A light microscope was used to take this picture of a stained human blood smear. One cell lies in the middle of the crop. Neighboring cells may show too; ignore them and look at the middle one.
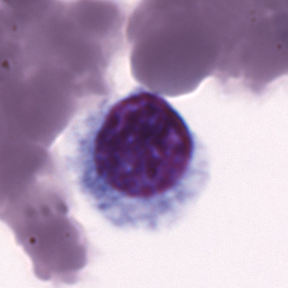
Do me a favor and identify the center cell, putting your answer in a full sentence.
The target cell in the middle of the crop is a hairy cell.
